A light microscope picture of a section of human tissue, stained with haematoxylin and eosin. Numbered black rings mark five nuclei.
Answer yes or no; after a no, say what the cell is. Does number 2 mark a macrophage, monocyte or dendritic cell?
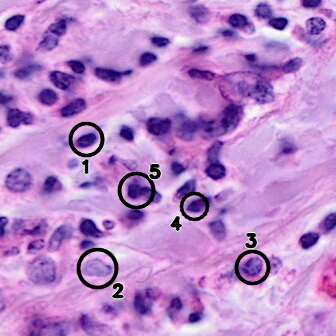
Yes.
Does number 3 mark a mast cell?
Yes.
